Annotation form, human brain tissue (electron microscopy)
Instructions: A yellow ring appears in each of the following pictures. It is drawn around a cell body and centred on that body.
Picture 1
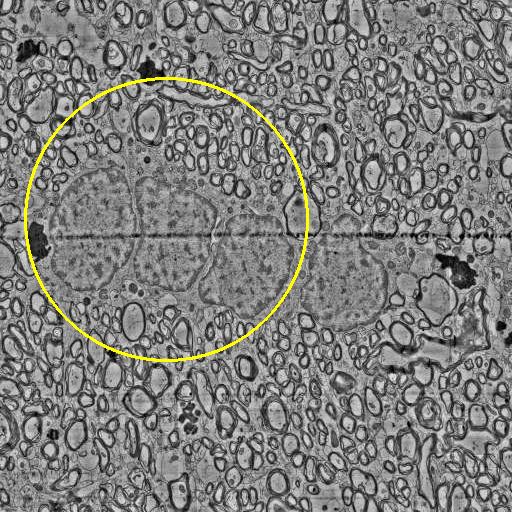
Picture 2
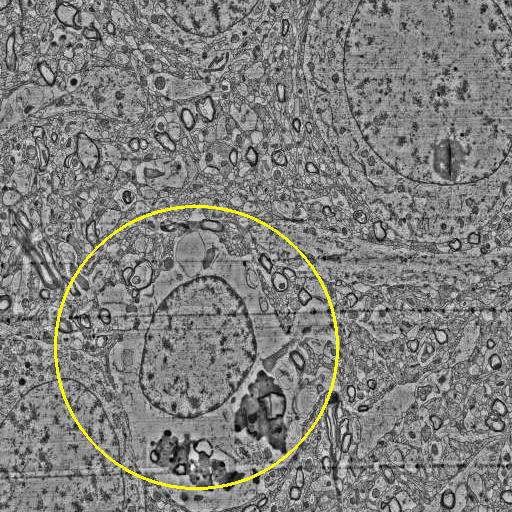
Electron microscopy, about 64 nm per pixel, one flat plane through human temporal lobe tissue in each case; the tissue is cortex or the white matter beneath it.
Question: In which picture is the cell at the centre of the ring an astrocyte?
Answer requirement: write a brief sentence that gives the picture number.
The cell at the centre of the ring in Picture 2 is the one asked for.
